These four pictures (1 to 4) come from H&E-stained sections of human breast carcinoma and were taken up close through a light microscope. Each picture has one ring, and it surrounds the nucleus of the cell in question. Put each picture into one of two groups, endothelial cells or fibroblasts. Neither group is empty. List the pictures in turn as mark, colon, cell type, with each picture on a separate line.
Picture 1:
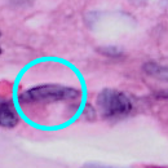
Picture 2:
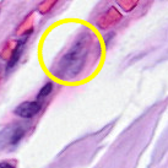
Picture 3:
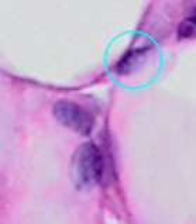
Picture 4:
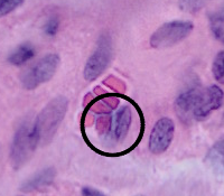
1: endothelial cell
2: endothelial cell
3: fibroblast
4: endothelial cell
